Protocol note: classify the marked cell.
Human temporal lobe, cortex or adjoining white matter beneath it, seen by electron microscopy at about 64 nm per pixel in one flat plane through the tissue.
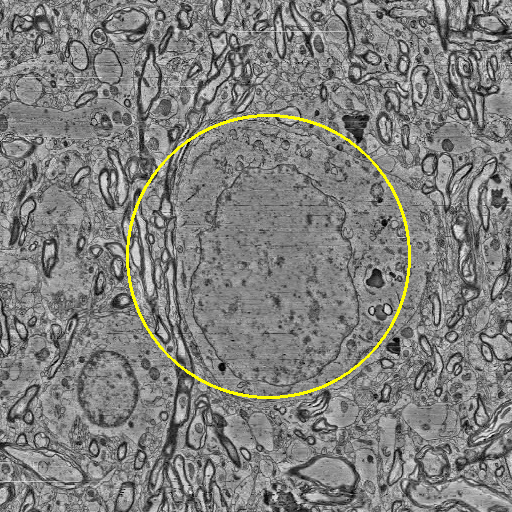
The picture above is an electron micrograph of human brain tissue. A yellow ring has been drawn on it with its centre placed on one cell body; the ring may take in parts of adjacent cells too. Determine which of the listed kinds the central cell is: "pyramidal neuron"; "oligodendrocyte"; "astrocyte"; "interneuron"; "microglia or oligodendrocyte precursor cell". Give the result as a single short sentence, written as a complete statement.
The central cell is a pyramidal neuron.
